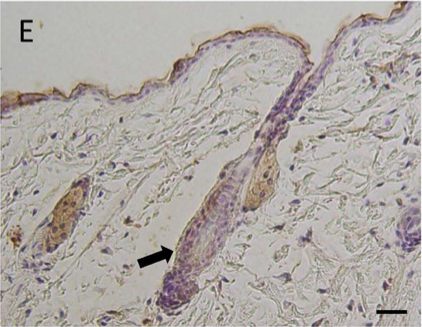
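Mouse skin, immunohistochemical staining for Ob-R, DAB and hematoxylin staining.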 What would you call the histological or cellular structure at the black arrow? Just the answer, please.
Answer: Hair follicles.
